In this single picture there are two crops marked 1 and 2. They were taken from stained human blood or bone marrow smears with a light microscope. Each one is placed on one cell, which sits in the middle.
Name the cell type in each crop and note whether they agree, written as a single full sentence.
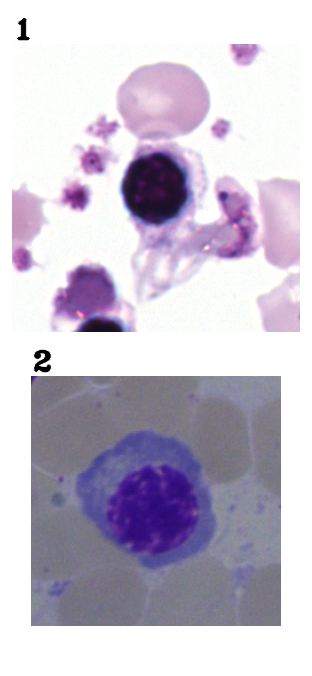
Yes, the two central cells, one per crop, are erythroblasts.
